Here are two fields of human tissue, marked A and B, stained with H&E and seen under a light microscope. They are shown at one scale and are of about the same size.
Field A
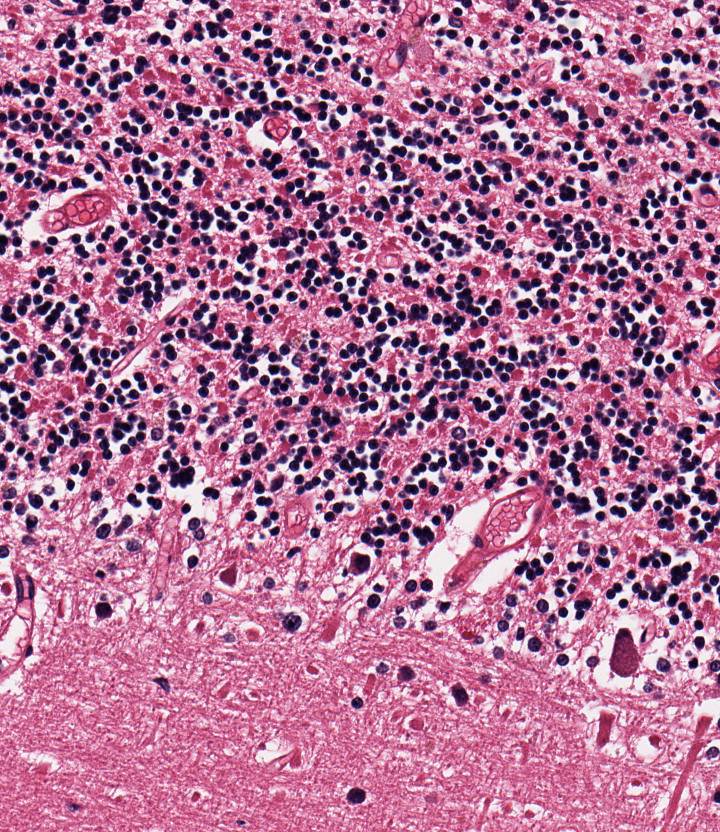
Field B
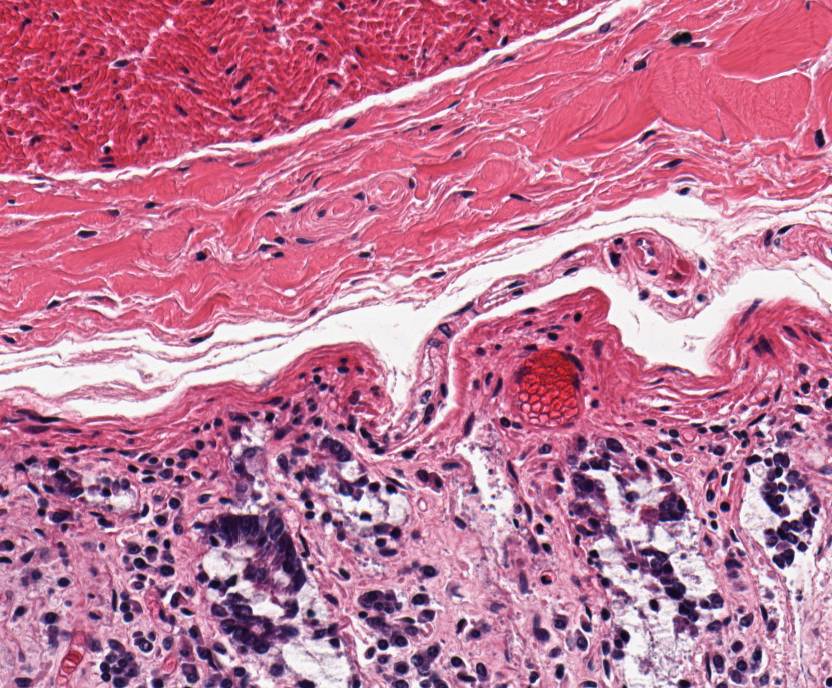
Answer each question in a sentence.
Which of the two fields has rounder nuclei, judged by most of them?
It is field A whose nuclei are the rounder.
